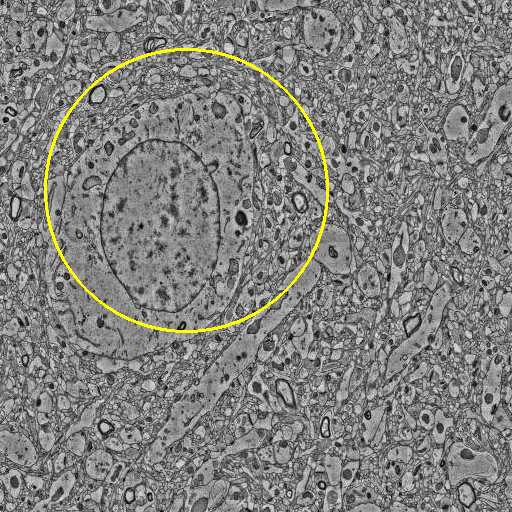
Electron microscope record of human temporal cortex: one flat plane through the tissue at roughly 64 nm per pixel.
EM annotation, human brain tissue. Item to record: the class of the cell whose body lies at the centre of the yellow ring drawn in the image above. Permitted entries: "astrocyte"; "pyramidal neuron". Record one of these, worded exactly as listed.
pyramidal neuron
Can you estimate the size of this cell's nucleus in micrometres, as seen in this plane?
In this plane the nucleus measures roughly 11 by 8 micrometres.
